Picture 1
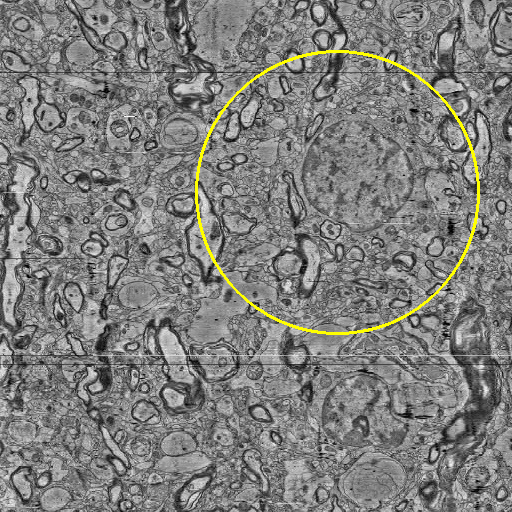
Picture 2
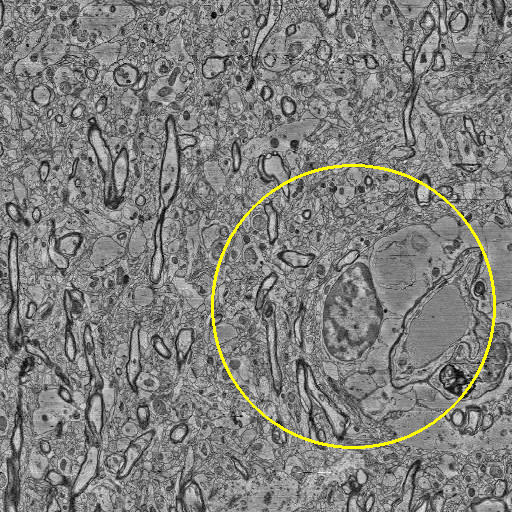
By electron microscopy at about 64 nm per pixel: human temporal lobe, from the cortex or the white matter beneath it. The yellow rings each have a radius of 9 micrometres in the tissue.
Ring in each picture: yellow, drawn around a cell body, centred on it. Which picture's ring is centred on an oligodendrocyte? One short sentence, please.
Picture 1 is the one.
